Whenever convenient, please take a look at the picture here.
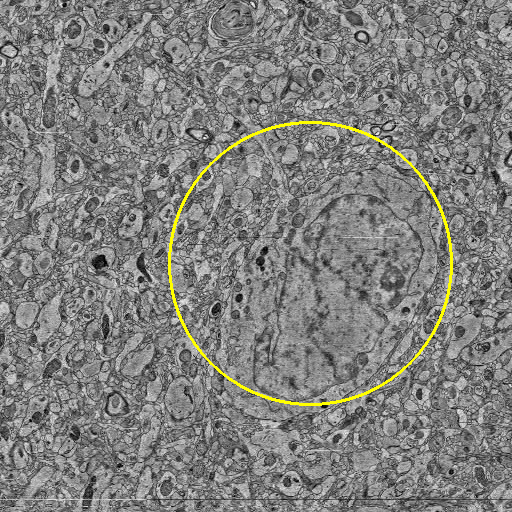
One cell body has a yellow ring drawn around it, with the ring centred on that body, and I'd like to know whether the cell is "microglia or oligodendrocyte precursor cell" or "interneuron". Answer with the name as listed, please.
interneuron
